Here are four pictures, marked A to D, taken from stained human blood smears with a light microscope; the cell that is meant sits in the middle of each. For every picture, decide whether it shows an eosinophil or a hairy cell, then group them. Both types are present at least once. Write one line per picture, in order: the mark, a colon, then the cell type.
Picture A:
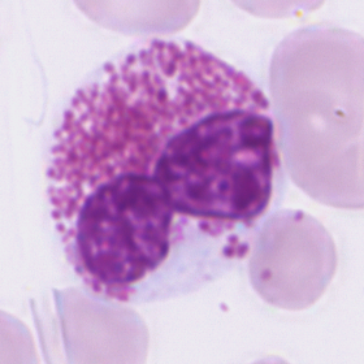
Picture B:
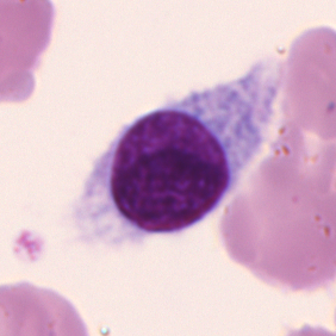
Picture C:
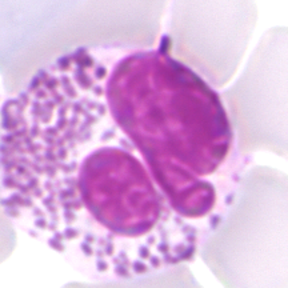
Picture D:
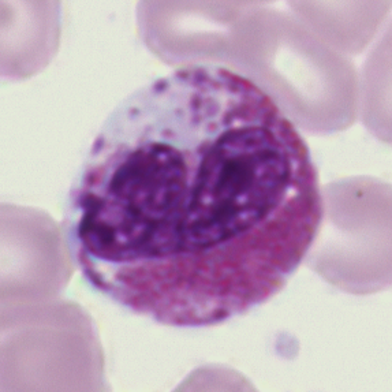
A: eosinophil
B: hairy cell
C: eosinophil
D: eosinophil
